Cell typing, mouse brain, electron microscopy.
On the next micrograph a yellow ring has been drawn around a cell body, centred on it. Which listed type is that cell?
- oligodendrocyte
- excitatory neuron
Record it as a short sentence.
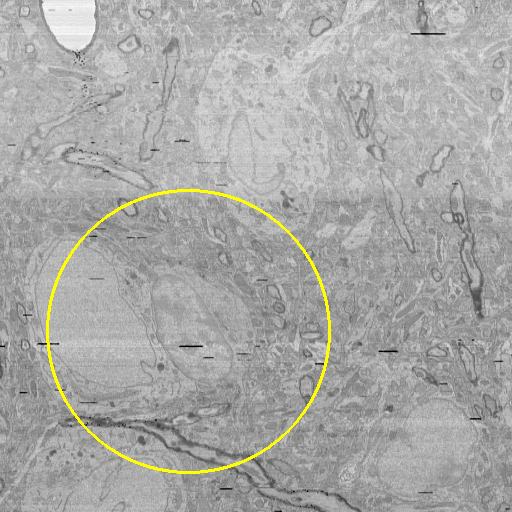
The cell body in the ring's centre belongs to an oligodendrocyte.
